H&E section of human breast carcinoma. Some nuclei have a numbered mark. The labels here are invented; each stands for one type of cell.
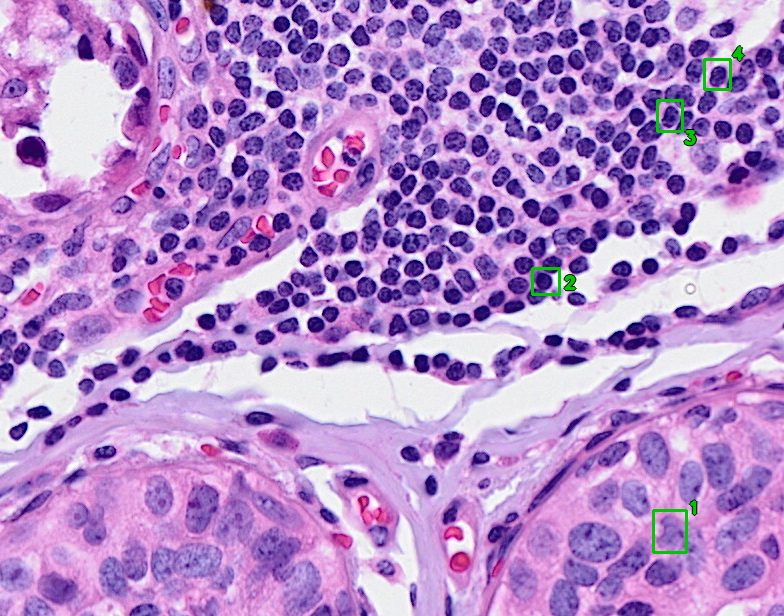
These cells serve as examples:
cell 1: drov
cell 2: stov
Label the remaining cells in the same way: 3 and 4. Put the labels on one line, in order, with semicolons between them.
stov; stov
